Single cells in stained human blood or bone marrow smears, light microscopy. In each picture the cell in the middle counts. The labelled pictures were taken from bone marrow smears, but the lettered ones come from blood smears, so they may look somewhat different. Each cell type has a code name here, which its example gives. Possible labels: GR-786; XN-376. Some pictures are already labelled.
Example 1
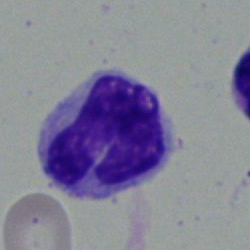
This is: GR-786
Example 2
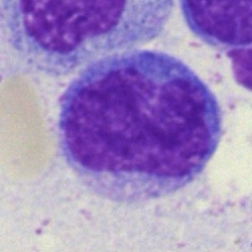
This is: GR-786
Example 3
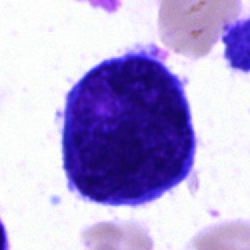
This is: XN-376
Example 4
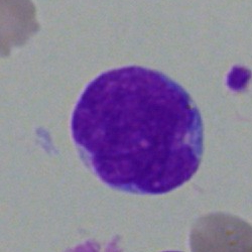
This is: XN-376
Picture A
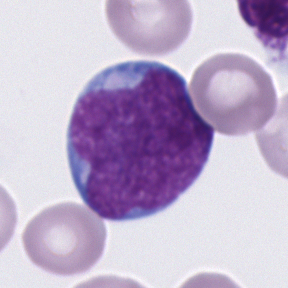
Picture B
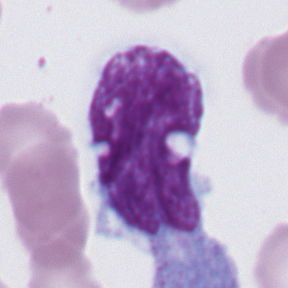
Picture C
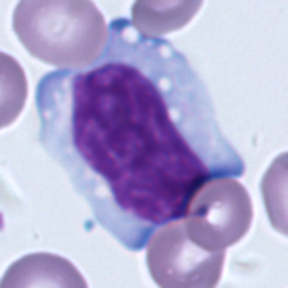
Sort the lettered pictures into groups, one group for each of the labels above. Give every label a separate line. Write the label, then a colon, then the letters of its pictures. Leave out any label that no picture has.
GR-786: B
XN-376: A, C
